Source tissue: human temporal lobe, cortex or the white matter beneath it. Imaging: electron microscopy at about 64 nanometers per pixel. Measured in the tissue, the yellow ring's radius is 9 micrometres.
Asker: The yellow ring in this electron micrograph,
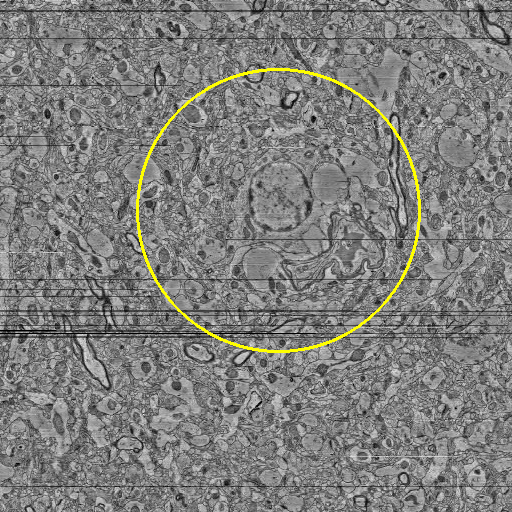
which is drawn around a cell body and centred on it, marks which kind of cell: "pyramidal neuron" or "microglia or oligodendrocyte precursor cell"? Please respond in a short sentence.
The marked cell is a microglial cell or oligodendrocyte precursor cell.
